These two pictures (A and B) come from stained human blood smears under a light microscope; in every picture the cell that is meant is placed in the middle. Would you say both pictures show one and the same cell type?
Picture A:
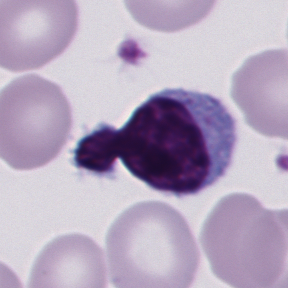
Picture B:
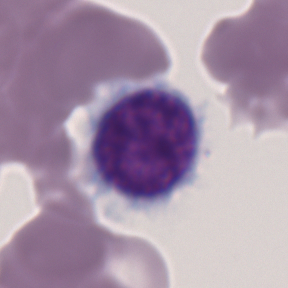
no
